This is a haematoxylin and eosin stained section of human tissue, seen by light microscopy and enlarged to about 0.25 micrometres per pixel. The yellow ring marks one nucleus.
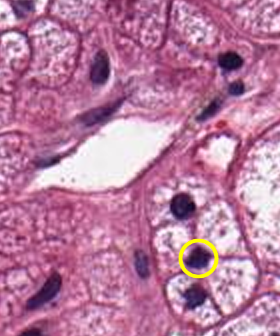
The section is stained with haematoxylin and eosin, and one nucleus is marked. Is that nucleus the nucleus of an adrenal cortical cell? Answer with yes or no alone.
yes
